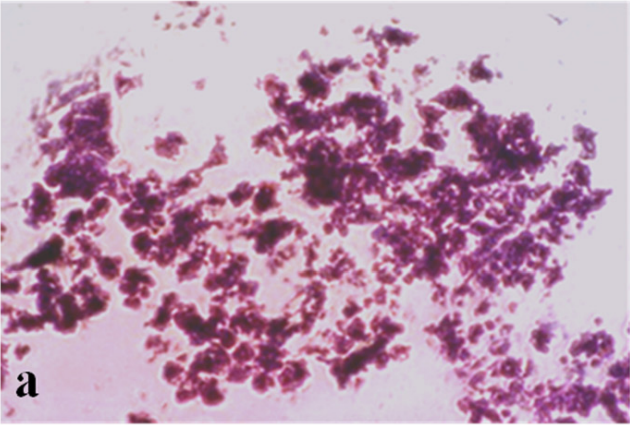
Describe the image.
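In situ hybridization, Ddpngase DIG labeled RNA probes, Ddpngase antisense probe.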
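I see many small, rounded cells stained deep purple. They are gathered into irregular clumps of varying size. The clumps are separated by pale, open spaces and are joined in places into a loose, branching network. Some smaller groups and scattered single cells lie between the larger clumps. No compact, sharply bounded mound has formed. The stain is strong throughout the cell masses, with the densest purple at the cores of the largest clumps. Together these features fit an early, loose aggregate, in which cells are streaming together but are not yet packed into a tight mass.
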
